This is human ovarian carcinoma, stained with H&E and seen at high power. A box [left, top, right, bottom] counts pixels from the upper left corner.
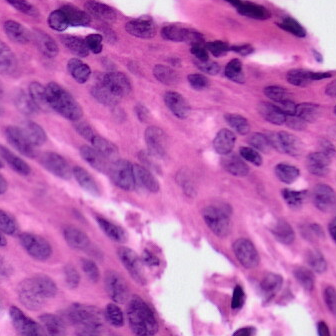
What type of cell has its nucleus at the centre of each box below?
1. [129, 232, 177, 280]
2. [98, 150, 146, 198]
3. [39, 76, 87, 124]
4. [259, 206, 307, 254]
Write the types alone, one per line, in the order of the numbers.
macrophage or monocyte
carcinoma cell
carcinoma cell
carcinoma cell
